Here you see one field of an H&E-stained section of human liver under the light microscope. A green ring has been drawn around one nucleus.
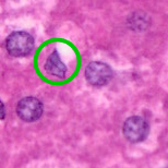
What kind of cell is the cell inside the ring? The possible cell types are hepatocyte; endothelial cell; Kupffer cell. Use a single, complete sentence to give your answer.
Typologically, the cell inside the ring is an endothelial cell in this section.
